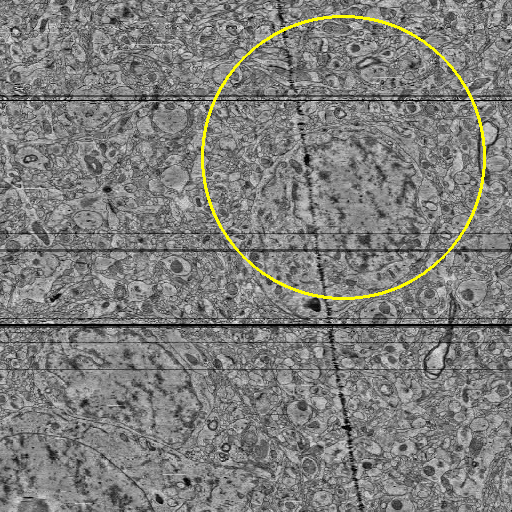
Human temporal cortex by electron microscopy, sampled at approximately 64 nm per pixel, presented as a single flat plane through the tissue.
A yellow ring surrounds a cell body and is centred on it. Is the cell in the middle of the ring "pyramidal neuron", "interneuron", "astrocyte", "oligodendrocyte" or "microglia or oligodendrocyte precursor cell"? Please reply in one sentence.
The ring is centred on an interneuron.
